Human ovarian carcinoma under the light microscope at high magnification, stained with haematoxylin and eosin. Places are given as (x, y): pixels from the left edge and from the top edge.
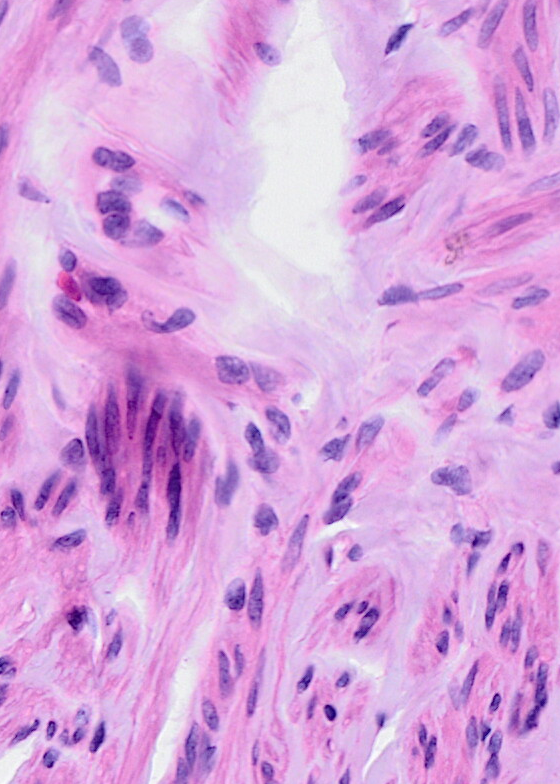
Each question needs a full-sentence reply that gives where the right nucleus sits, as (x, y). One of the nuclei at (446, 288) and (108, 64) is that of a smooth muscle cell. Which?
Of the two nuclei, the nucleus of a smooth muscle cell is at (446, 288).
